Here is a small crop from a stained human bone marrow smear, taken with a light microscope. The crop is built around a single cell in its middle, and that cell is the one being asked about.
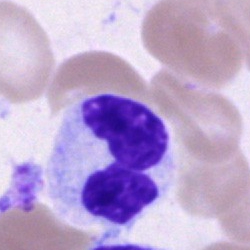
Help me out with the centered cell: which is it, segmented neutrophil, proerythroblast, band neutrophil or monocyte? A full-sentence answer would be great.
At the middle of the frame sits a segmented neutrophil.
